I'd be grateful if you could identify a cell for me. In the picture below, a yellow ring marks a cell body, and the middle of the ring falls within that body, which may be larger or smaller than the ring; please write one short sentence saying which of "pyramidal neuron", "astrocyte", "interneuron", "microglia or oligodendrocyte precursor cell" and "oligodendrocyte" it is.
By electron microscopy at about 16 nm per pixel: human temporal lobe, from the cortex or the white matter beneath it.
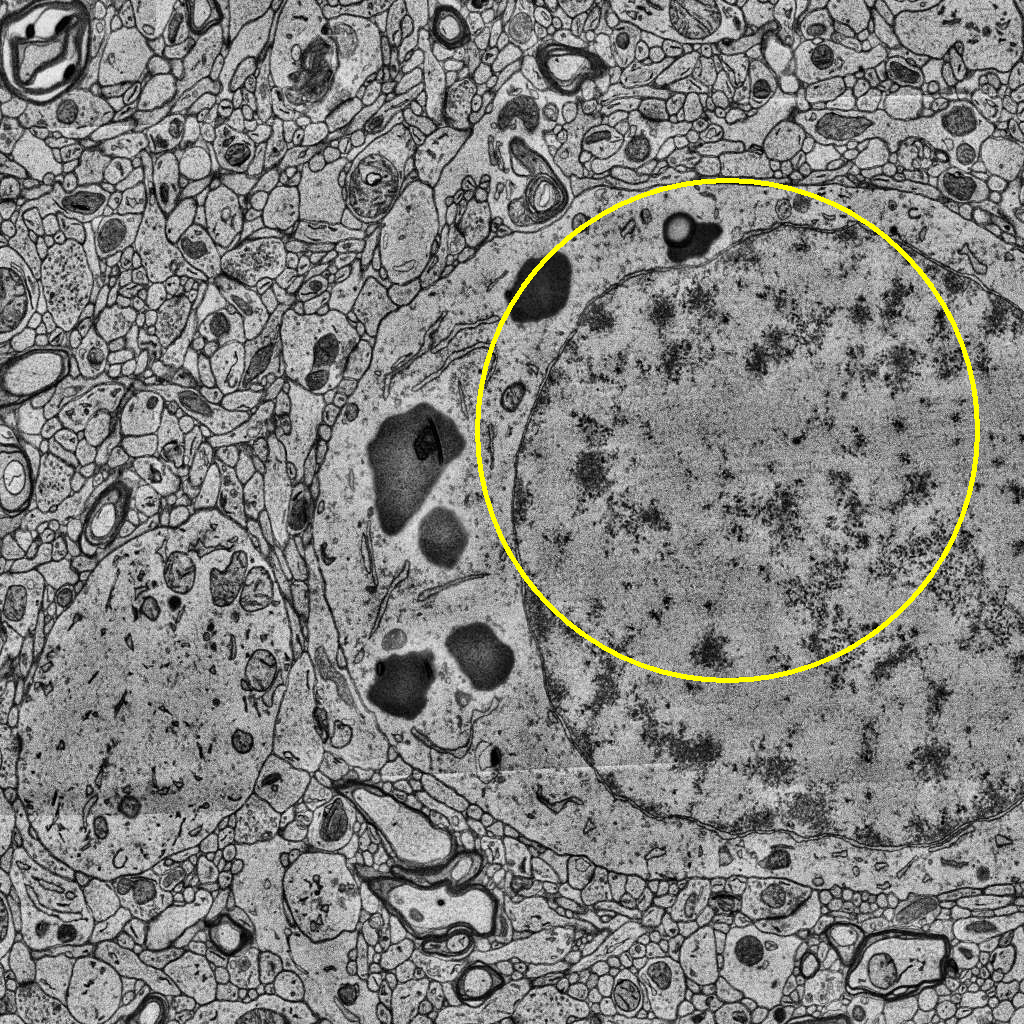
The cell under the ring's centre is an interneuron.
